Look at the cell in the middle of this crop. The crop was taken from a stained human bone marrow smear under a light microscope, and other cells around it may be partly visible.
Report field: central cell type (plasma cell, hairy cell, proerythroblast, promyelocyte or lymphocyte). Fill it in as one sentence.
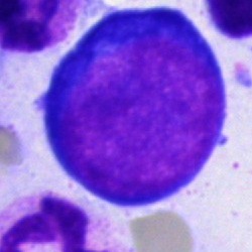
The centrally located cell in the crop is a proerythroblast.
